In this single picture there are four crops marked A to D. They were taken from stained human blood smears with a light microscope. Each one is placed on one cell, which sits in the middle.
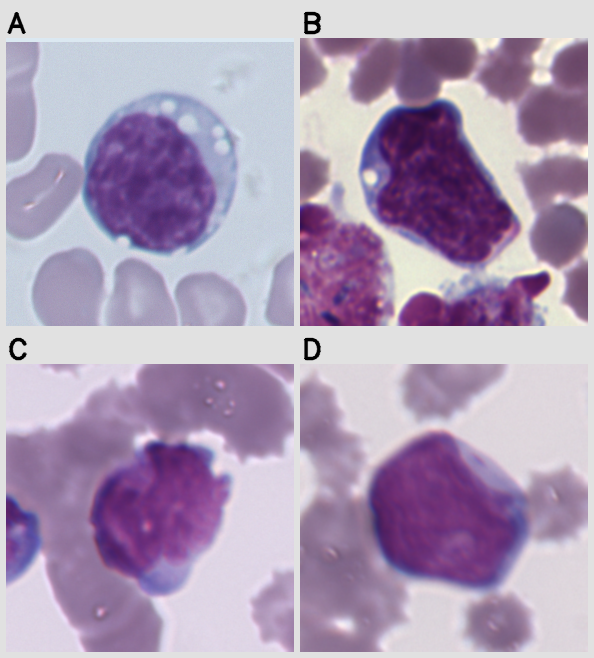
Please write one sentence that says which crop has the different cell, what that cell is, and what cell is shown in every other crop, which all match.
Among these crops, myeloblasts occur in all but crop B, which contains a monocyte.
